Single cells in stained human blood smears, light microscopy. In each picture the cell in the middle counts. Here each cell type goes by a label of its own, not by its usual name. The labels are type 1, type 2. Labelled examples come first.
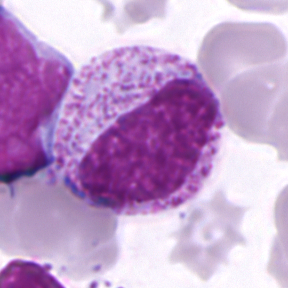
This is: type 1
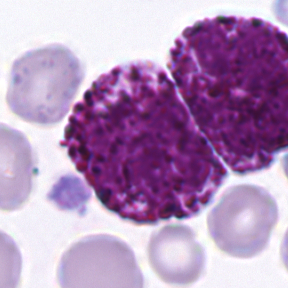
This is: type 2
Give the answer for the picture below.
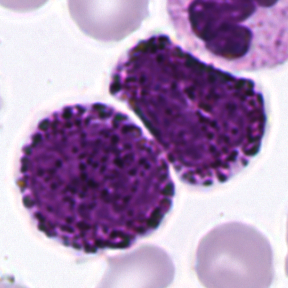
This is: type 2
